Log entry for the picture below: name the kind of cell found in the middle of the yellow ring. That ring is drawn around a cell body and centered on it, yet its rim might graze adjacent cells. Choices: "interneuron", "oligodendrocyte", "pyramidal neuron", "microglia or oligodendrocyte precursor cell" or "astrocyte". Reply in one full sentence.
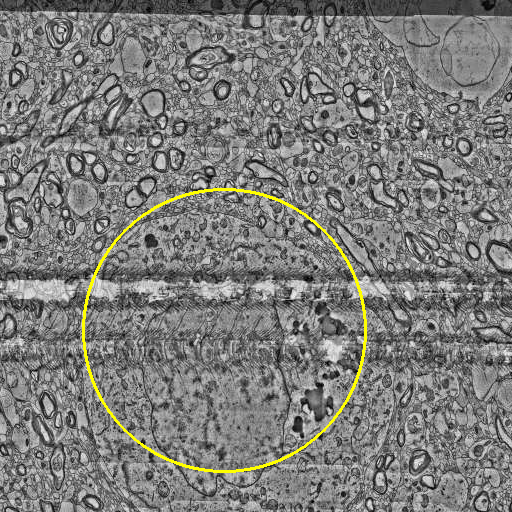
The cell in the middle of the yellow ring in this picture is a pyramidal neuron.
